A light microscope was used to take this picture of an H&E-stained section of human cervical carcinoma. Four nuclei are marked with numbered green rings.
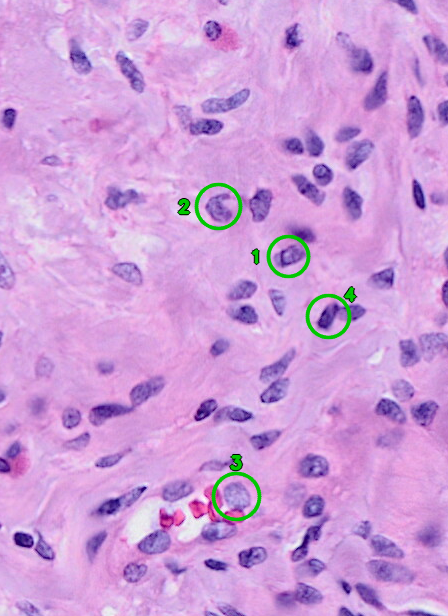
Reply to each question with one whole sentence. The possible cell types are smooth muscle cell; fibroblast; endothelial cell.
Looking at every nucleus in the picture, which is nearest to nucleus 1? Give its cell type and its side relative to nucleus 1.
It is a fibroblast, whose nucleus lies above and to the right of nucleus 1.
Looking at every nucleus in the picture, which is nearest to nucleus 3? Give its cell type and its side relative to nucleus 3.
The nearest nucleus is that of an endothelial cell and lies below and to the right of nucleus 3.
